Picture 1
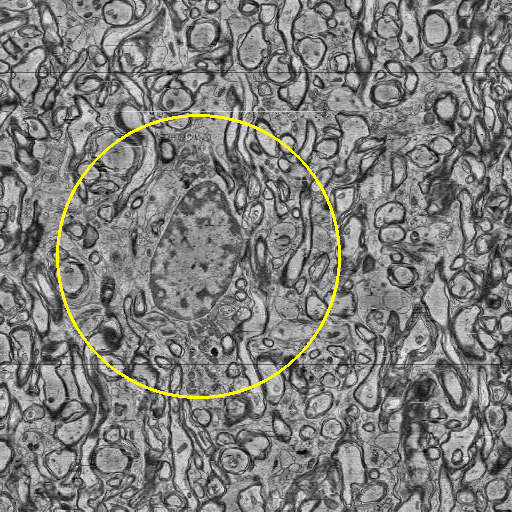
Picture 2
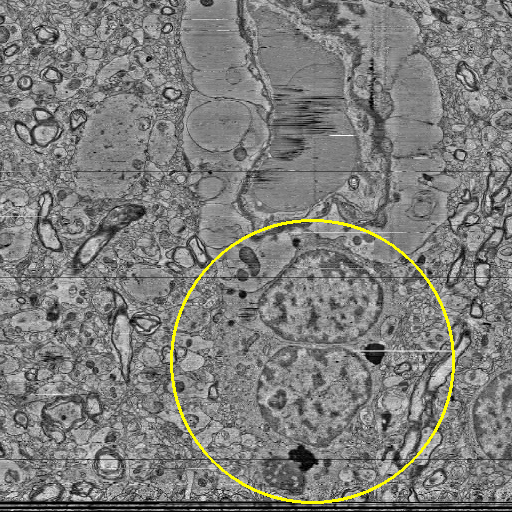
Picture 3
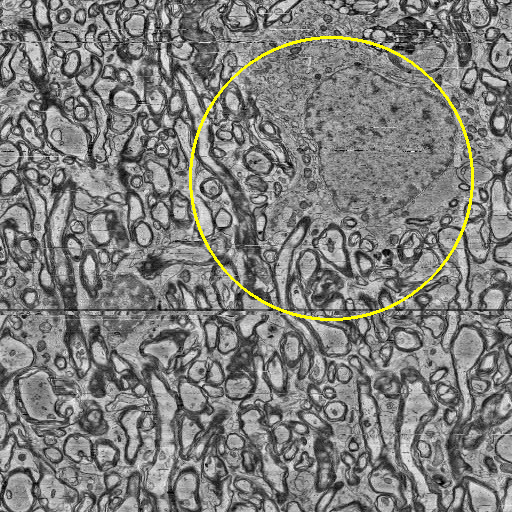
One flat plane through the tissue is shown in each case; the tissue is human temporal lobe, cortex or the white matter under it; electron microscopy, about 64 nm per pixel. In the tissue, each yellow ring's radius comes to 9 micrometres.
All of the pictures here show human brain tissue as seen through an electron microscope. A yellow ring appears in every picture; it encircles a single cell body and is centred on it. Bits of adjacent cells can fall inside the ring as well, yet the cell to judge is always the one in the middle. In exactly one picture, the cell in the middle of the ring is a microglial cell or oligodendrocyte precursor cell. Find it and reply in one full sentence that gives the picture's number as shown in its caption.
Of all the pictures, picture 1 has the right cell at the centre of its ring.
